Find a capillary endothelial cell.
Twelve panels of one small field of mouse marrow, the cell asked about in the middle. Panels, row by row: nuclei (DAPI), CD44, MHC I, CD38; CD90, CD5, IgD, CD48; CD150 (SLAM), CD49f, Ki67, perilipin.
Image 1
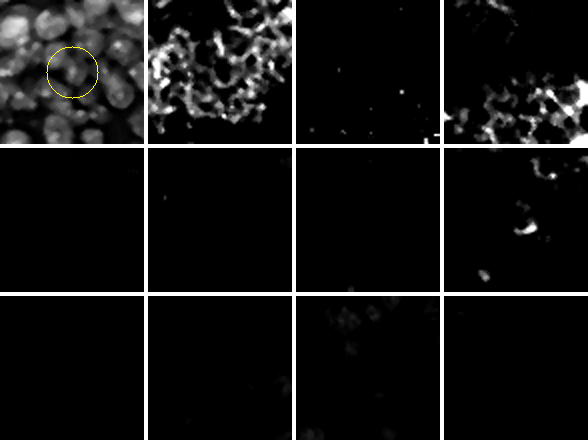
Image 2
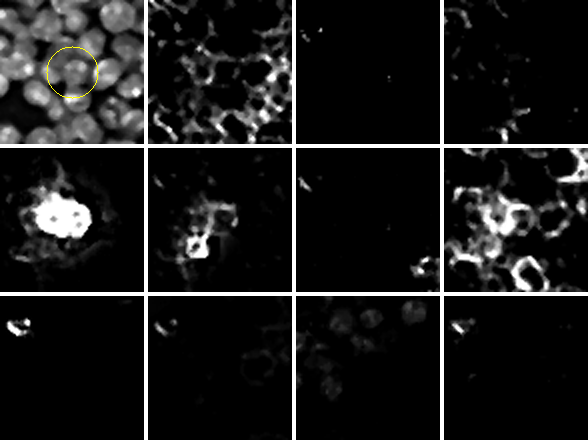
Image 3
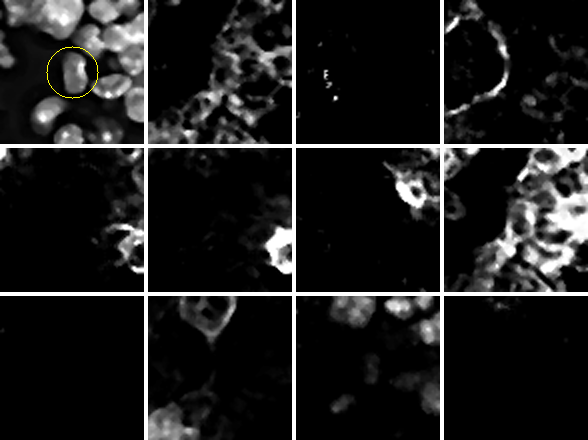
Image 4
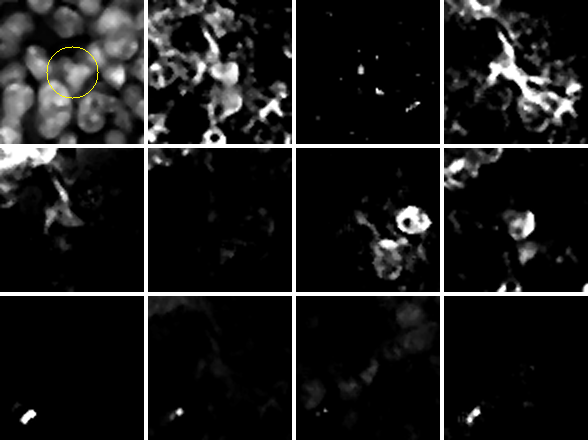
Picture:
4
